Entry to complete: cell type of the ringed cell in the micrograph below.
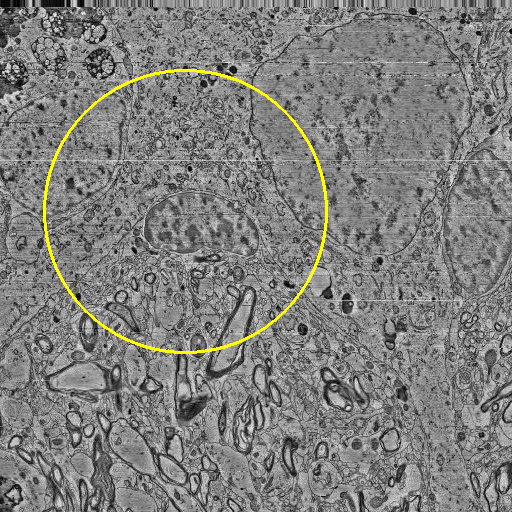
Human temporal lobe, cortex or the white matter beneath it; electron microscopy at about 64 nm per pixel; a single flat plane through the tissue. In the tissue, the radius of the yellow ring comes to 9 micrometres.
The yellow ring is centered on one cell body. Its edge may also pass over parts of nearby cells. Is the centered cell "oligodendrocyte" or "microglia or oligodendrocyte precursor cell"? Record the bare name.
microglia or oligodendrocyte precursor cell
